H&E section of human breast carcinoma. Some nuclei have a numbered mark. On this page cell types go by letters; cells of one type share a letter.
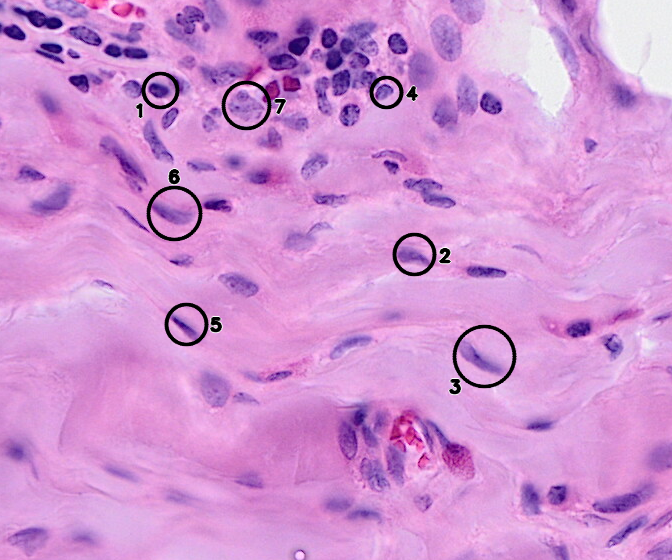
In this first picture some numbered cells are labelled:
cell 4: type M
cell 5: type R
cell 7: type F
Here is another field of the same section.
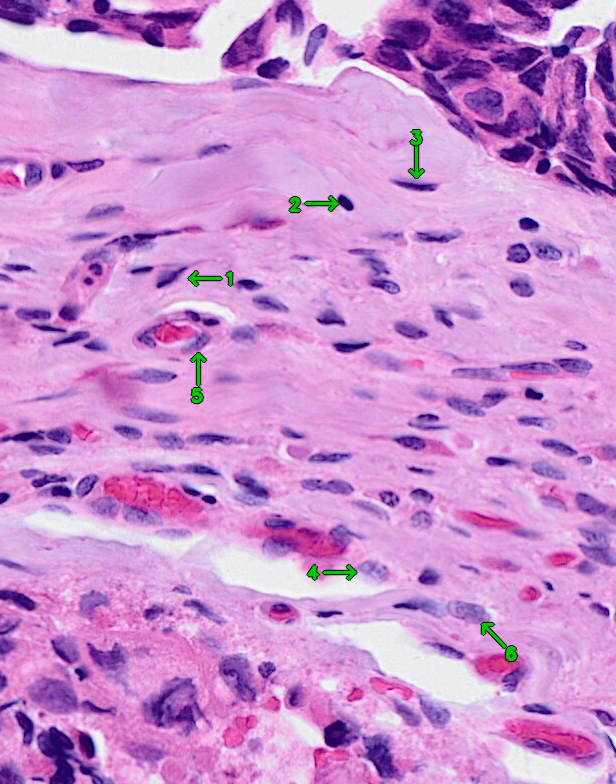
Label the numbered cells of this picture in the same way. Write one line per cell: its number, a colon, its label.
1: type R
2: type M
3: type R
4: type R
5: type F
6: type R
